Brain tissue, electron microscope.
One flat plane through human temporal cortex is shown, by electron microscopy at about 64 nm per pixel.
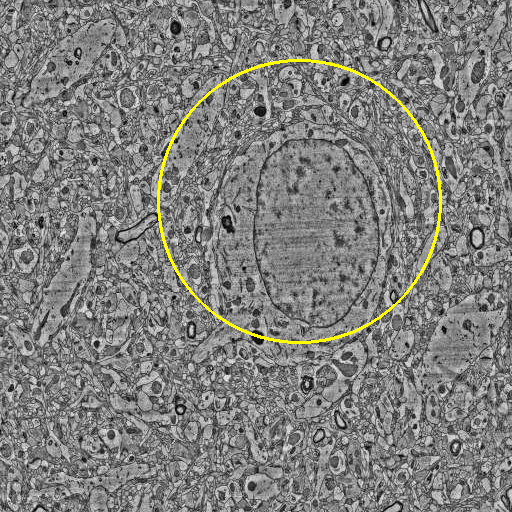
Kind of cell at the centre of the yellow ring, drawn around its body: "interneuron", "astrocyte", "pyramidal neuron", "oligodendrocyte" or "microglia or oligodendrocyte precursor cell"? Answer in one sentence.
The ring's centre falls on a pyramidal neuron.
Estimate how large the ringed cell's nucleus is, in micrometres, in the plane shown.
Approximately 12 by 8 micrometers, which makes the nucleus clearly longer than it is wide in this plane.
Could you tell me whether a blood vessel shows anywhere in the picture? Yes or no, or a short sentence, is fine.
No, no vessel shows anywhere in the image.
